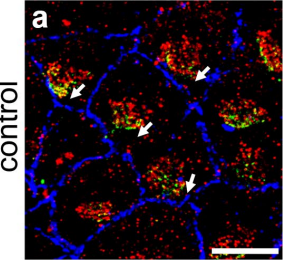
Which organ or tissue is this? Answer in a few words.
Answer: ependyma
